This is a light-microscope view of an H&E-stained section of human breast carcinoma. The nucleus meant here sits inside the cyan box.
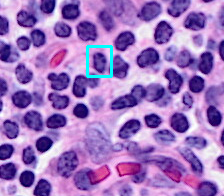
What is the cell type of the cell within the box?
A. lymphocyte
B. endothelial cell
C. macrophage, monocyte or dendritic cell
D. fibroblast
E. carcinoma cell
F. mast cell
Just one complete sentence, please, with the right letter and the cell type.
Option A gives the correct identity of the cell within the box, which is a lymphocyte.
